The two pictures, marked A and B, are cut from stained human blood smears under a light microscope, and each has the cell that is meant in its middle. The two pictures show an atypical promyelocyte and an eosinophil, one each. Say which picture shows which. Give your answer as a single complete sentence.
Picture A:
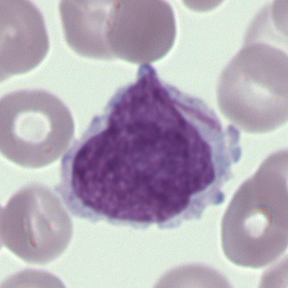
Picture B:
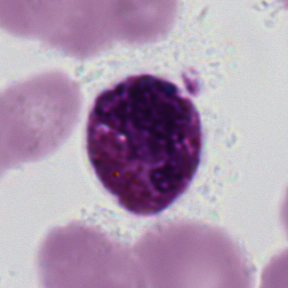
The cell in picture A is an atypical promyelocyte, and the one in picture B is an eosinophil.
